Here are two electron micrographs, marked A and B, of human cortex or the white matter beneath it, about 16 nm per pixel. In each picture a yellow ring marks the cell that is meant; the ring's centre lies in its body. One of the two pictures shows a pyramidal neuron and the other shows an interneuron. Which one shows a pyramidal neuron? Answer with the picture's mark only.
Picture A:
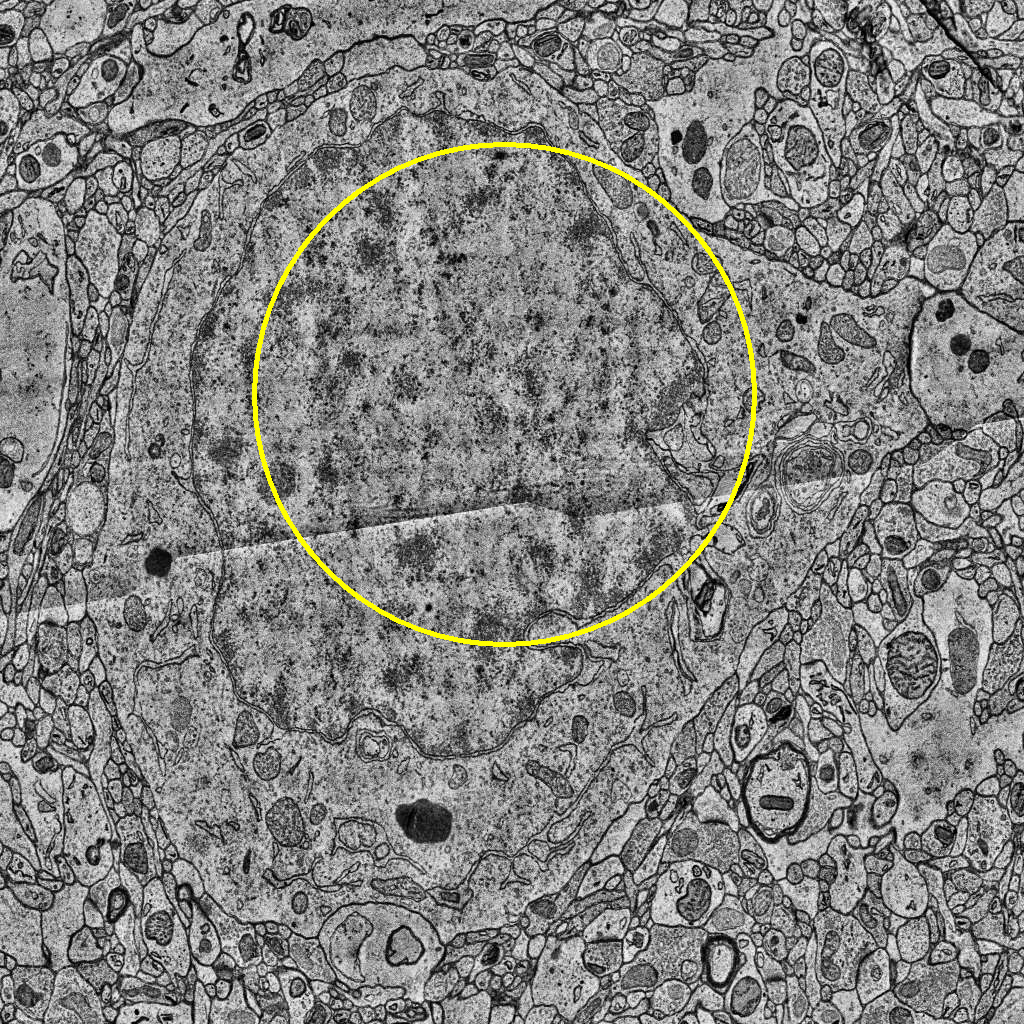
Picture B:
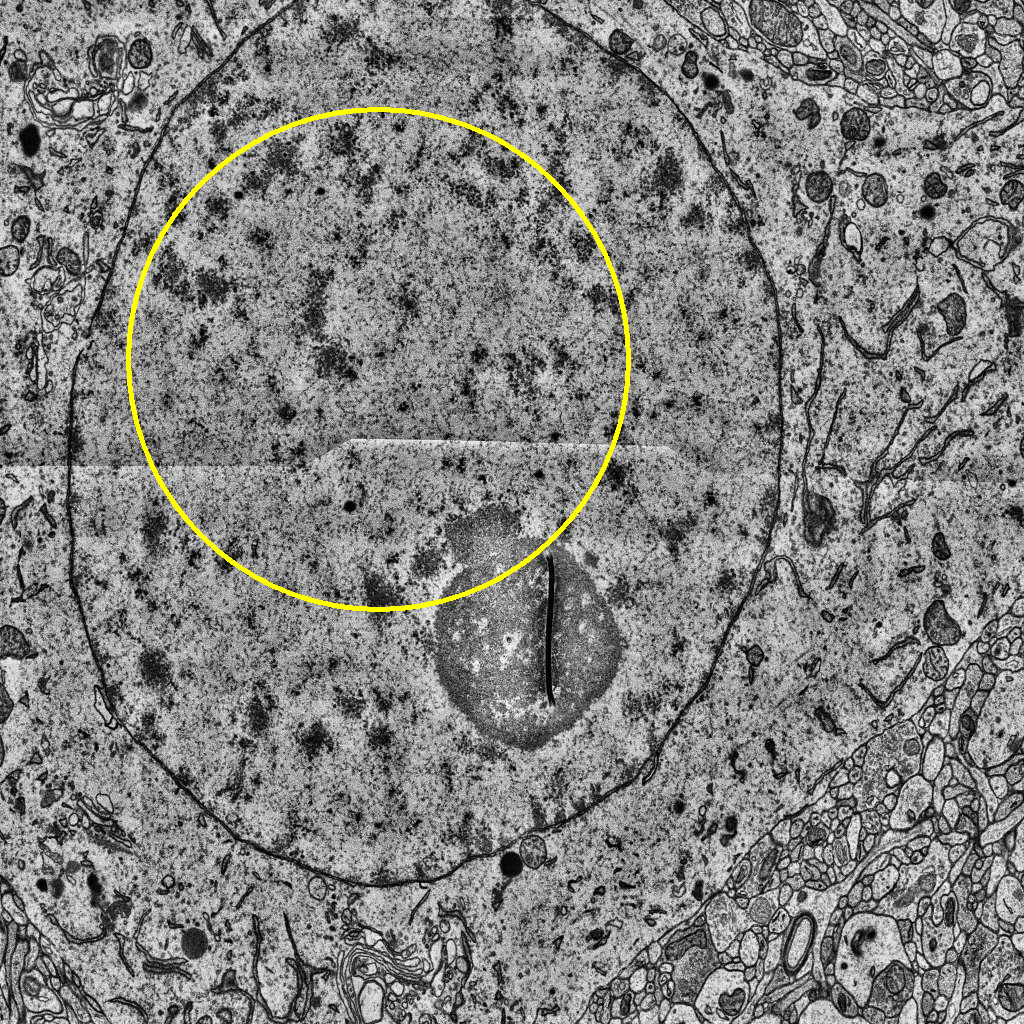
B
